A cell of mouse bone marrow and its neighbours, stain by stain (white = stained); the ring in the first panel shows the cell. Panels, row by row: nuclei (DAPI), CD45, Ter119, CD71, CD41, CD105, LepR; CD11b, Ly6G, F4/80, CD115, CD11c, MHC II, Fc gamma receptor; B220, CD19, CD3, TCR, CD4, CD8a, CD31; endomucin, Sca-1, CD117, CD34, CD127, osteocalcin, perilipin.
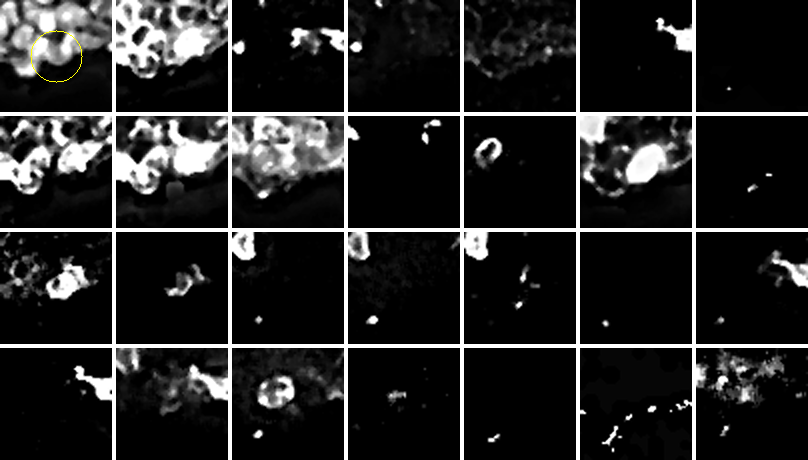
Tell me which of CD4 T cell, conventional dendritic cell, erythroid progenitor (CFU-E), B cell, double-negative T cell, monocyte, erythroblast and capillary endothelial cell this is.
The picture shows a B cell.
